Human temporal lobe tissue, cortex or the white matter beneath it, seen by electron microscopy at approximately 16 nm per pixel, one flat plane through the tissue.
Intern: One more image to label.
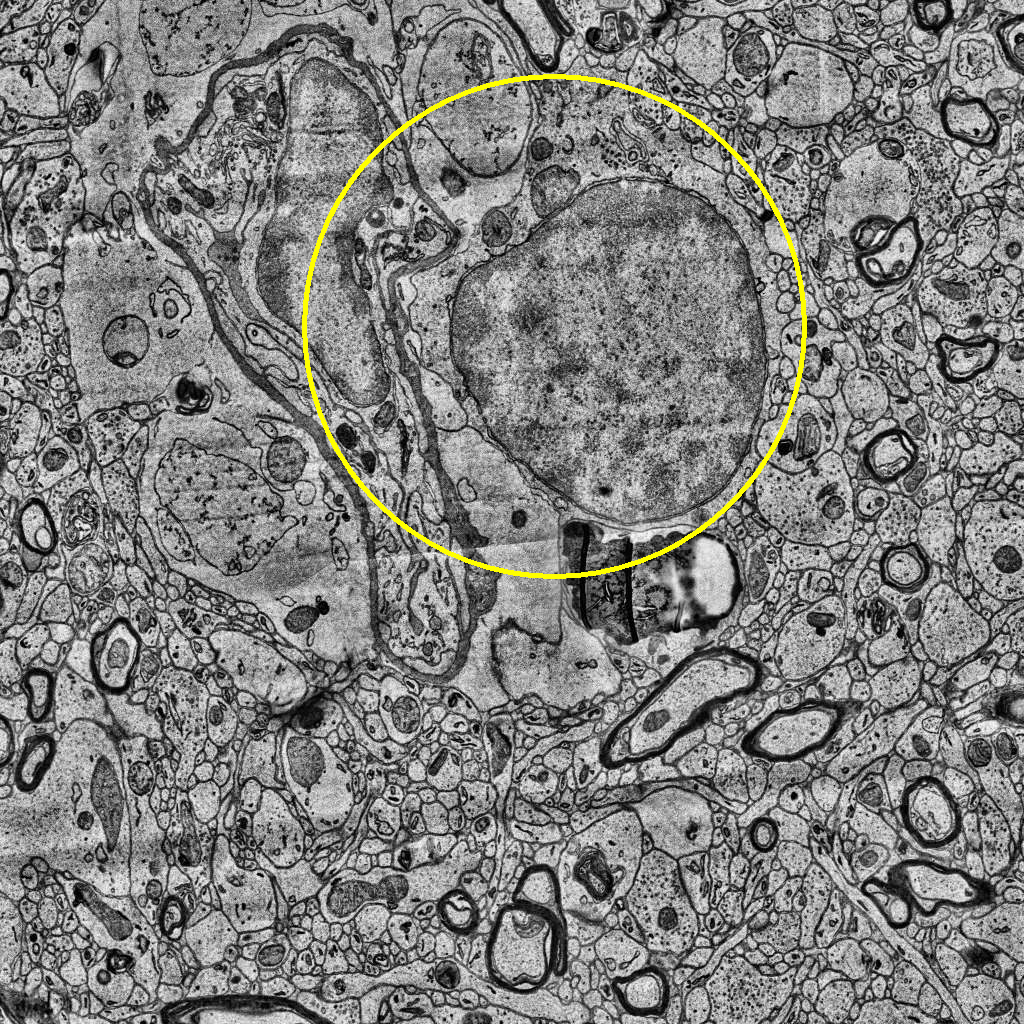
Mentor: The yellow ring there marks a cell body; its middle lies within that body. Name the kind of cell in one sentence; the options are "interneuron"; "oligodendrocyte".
The ring marks the cell body of an oligodendrocyte.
